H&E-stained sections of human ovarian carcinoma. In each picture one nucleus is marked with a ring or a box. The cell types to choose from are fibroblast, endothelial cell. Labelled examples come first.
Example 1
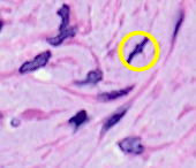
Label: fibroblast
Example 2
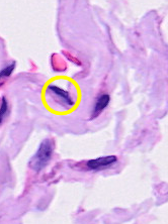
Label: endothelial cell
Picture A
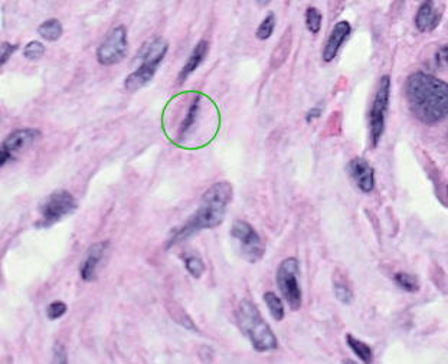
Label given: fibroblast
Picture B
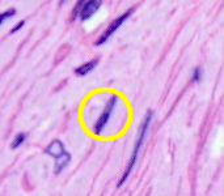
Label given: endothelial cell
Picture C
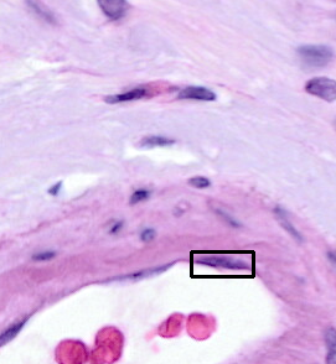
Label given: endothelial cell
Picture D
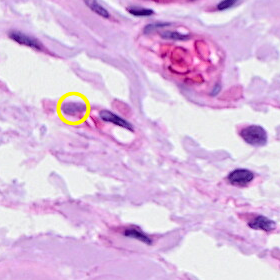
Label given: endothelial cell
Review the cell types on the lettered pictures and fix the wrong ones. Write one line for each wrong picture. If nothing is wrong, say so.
B: fibroblast, not endothelial cell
